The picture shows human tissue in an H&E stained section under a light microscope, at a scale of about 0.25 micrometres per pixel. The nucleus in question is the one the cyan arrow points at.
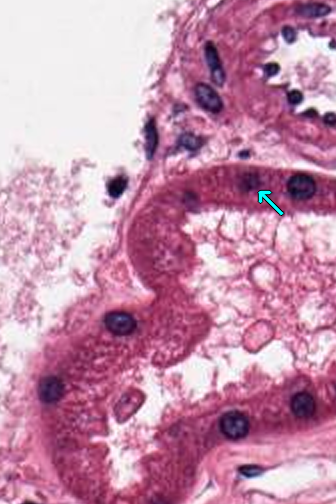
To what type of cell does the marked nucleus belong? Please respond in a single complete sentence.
In this section, the marked nucleus is that of a proximal tubule cell.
